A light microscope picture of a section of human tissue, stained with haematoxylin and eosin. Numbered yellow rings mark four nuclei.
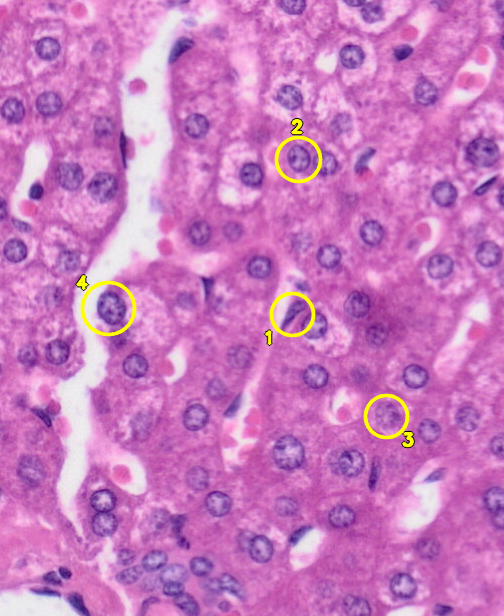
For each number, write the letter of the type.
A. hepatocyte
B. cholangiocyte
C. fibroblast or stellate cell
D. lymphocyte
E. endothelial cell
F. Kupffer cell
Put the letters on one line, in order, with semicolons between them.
F; A; A; A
